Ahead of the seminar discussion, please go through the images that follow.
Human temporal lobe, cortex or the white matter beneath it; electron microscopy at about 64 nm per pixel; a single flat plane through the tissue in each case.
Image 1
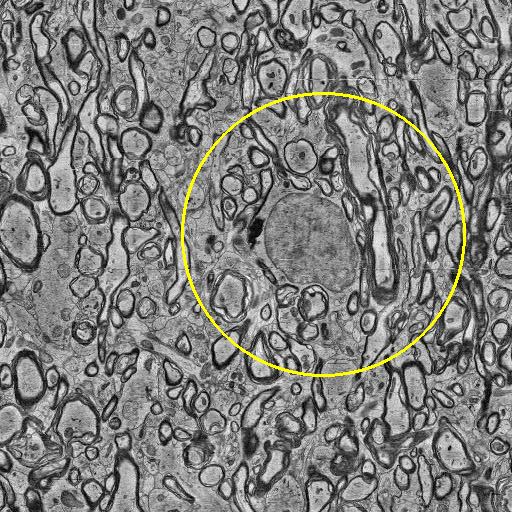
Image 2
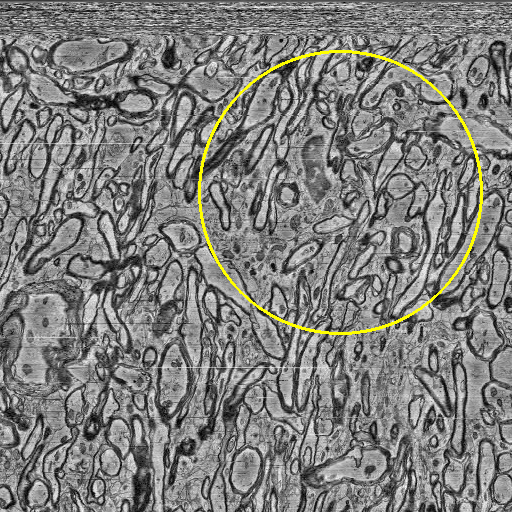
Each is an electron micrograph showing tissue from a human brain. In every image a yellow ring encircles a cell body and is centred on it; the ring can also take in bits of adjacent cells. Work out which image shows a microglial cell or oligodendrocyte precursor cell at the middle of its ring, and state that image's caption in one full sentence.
In Image 2, the ring's centre holds the cell you are looking for.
